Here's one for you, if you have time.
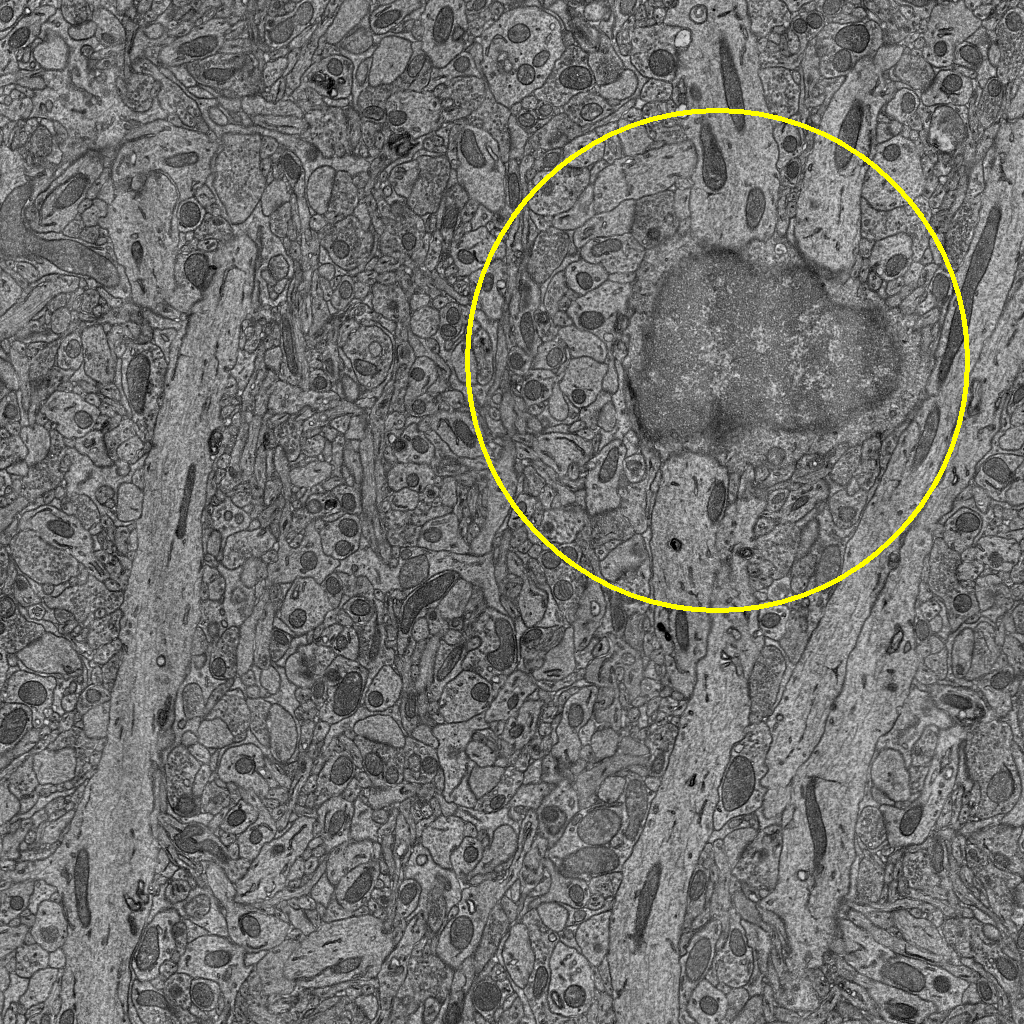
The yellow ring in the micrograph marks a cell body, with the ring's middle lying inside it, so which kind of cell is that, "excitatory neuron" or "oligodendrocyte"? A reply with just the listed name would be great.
oligodendrocyte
